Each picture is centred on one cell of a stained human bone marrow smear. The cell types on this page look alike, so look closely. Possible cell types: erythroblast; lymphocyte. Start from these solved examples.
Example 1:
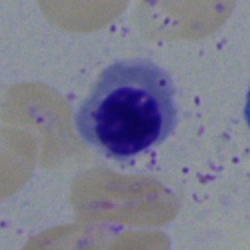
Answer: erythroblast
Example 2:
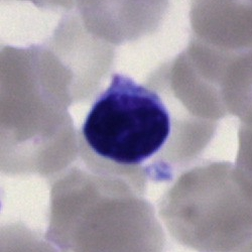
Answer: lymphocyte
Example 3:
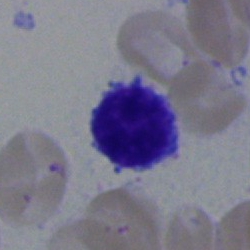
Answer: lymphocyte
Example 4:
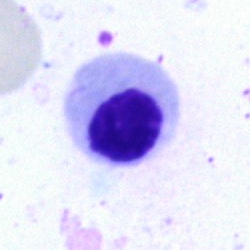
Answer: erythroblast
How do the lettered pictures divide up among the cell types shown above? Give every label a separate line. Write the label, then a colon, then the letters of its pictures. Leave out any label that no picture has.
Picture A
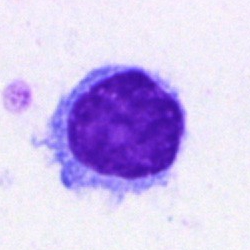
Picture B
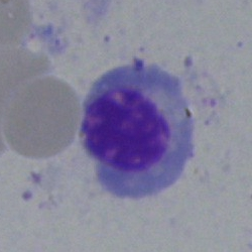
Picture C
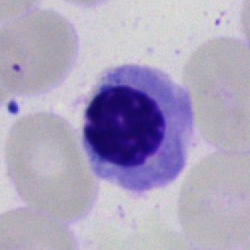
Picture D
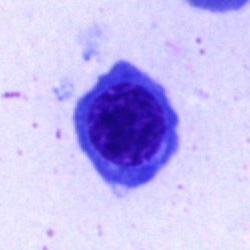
erythroblast: B, C, D
lymphocyte: A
